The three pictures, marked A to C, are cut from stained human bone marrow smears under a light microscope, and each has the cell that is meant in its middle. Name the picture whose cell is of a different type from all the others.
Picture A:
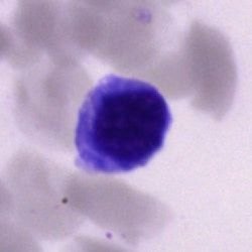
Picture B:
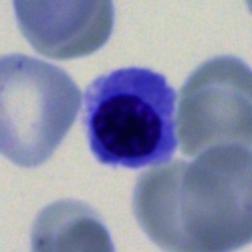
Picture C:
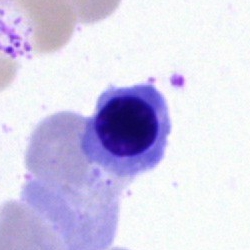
A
